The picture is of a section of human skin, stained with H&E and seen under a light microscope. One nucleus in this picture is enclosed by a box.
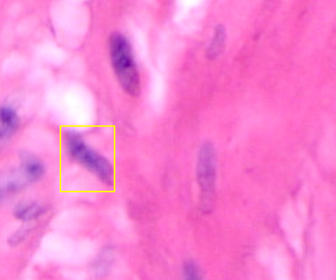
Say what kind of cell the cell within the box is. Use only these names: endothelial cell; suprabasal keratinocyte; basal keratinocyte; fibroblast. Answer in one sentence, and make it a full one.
Microscopically, the cell within the box is categorized as a fibroblast.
